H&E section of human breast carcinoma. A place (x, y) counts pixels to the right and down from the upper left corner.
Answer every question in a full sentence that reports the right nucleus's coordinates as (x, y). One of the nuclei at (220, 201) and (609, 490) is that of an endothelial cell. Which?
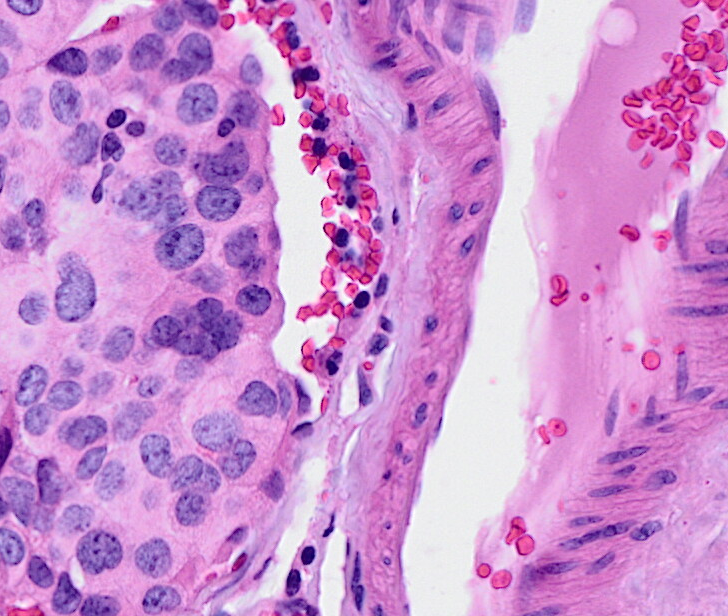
Of these two nuclei, only the one at (609, 490) belongs to an endothelial cell.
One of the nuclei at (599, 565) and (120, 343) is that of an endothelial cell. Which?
So, of the two, the nucleus at (599, 565) is the one belonging to an endothelial cell.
